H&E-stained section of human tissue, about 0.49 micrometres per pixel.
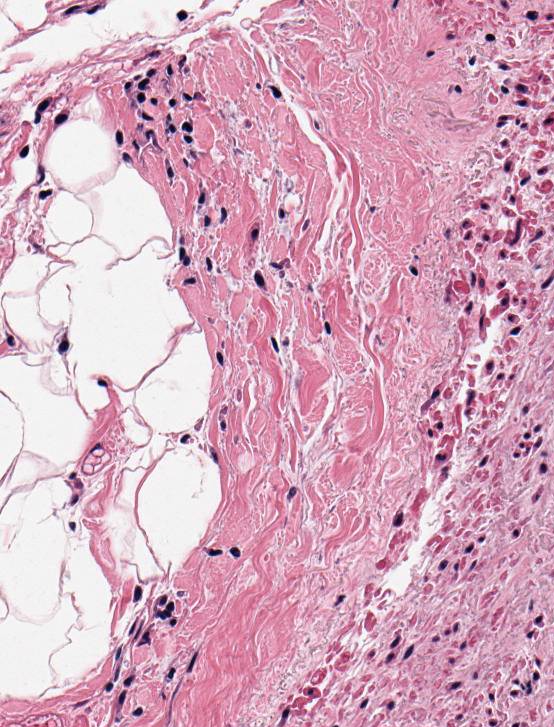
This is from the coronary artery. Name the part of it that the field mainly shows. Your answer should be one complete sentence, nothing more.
In this tissue section, the part on display is tunica adventitia.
